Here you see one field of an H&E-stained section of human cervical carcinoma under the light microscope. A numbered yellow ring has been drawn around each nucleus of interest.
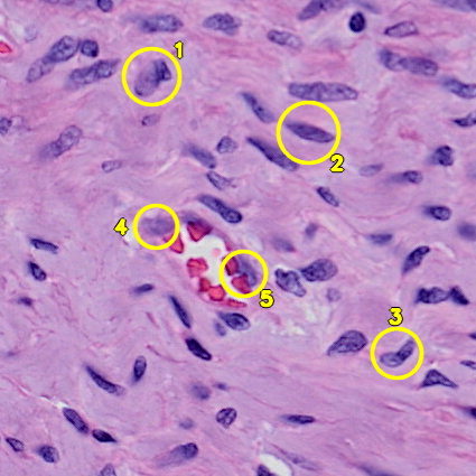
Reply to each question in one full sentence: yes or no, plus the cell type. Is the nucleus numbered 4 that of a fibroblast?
No, it is not a fibroblast that bears number 4 but an endothelial cell.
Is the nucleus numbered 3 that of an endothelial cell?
No, number 3 is not an endothelial cell but a fibroblast.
